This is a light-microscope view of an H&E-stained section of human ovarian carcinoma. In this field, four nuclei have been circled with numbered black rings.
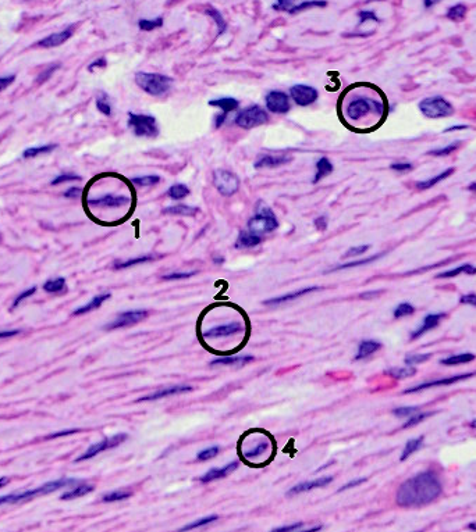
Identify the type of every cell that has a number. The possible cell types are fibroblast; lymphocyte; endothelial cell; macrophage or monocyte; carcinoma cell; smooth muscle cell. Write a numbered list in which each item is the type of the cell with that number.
1. fibroblast
2. fibroblast
3. lymphocyte
4. fibroblast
